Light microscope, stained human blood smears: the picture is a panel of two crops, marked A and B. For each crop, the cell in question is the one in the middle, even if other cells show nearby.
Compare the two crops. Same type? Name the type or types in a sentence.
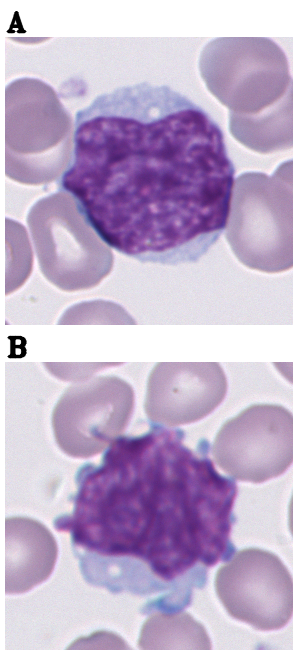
Yes, both crops show myeloblasts as the central cells.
